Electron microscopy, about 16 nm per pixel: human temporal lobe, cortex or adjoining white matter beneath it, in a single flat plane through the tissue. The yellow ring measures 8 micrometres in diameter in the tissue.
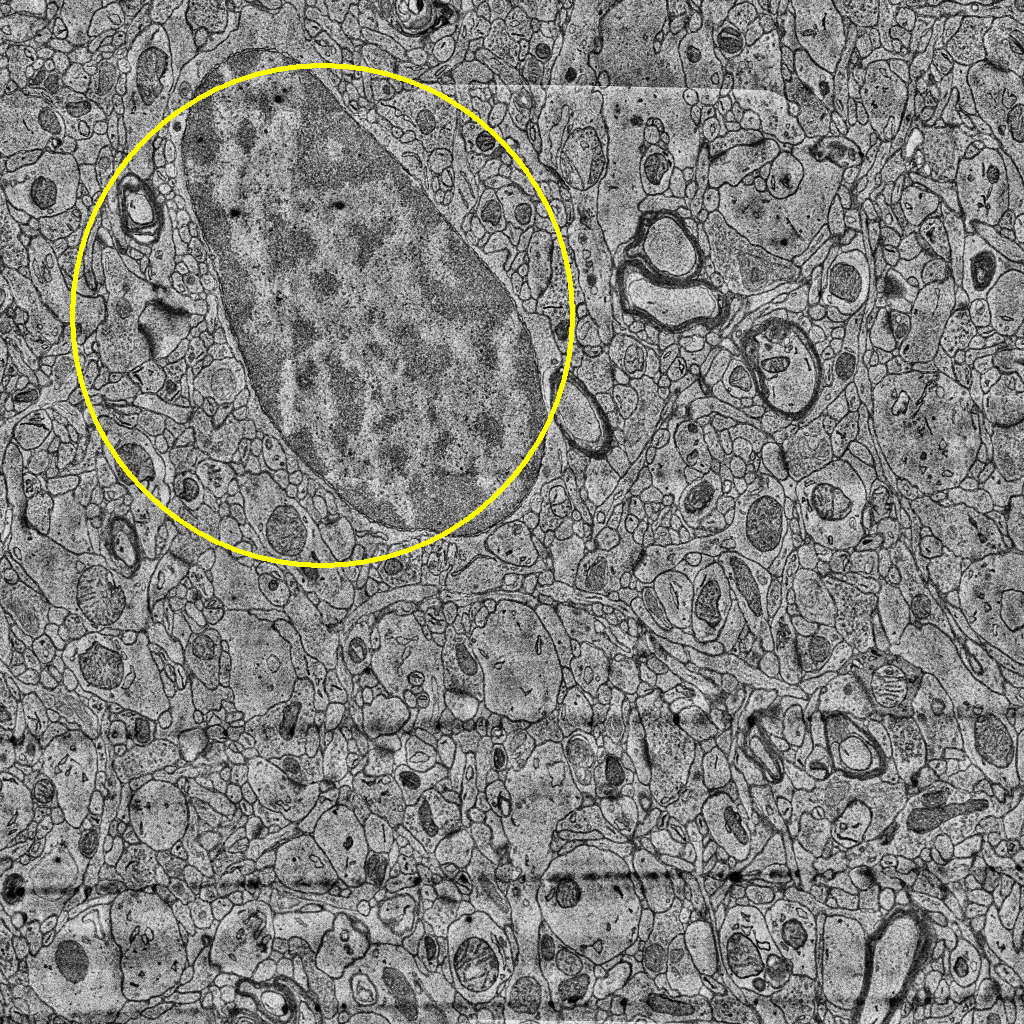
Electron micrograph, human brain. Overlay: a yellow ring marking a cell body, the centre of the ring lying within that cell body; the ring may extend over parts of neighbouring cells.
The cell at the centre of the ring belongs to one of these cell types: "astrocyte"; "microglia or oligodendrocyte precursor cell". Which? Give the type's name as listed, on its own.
microglia or oligodendrocyte precursor cell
